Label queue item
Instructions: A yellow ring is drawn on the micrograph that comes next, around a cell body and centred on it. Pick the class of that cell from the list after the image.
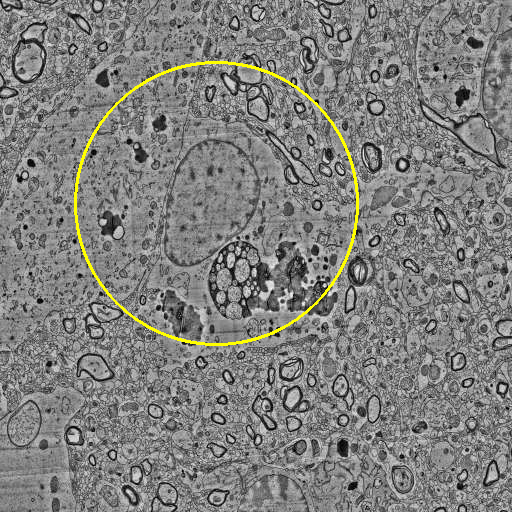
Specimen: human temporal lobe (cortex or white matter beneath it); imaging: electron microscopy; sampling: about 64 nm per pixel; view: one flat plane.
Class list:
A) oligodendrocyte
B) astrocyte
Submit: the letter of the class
B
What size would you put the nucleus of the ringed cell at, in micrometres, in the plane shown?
In this plane, the nucleus of the cell at the centre of the ring measures about 8 by 6 micrometres.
